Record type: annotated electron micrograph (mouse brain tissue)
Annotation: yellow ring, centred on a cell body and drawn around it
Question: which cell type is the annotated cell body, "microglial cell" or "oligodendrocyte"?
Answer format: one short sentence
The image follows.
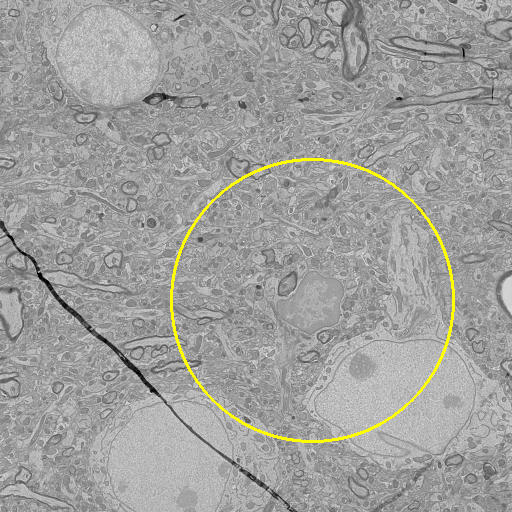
The annotated cell body is that of a microglial cell.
